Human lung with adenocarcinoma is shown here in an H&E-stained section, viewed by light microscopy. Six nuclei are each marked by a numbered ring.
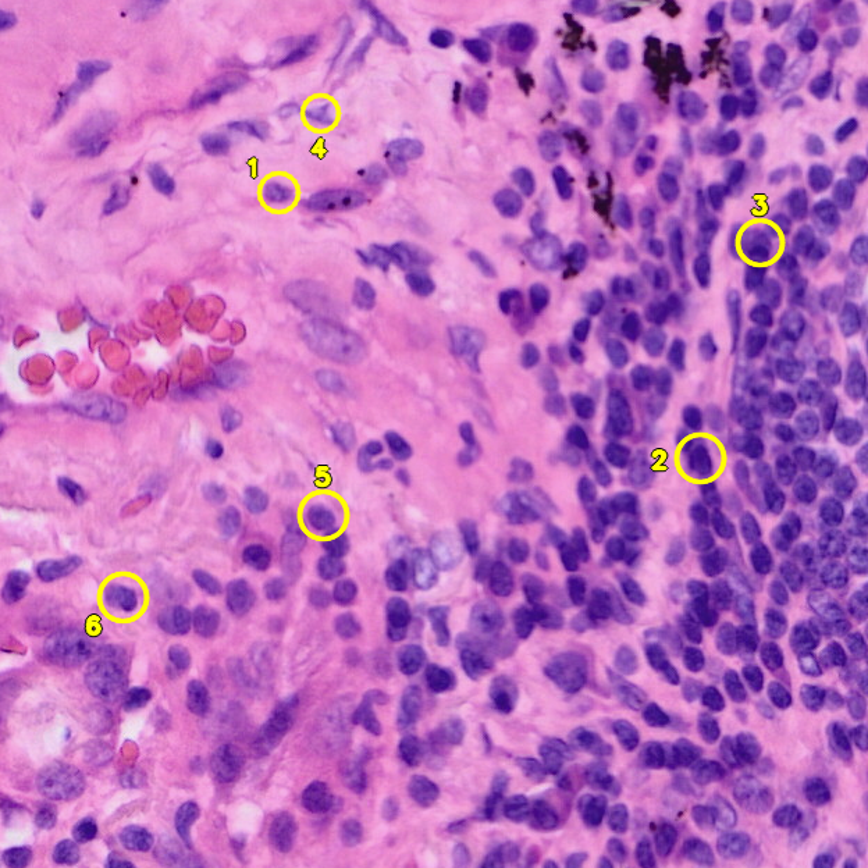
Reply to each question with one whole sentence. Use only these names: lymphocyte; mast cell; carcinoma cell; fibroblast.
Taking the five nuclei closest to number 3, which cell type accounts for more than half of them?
Of the five nuclei nearest to number 3, most belong to lymphocytes.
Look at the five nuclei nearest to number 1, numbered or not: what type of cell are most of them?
Fibroblasts make up most of the five nuclei closest to number 1.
